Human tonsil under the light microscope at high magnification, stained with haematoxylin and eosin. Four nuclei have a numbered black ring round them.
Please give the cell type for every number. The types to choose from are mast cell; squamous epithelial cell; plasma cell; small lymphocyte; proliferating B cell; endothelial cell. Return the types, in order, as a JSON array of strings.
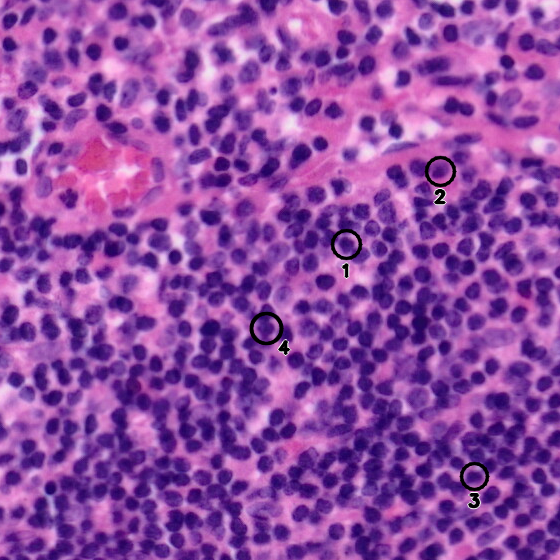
["small lymphocyte", "endothelial cell", "small lymphocyte", "small lymphocyte"]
